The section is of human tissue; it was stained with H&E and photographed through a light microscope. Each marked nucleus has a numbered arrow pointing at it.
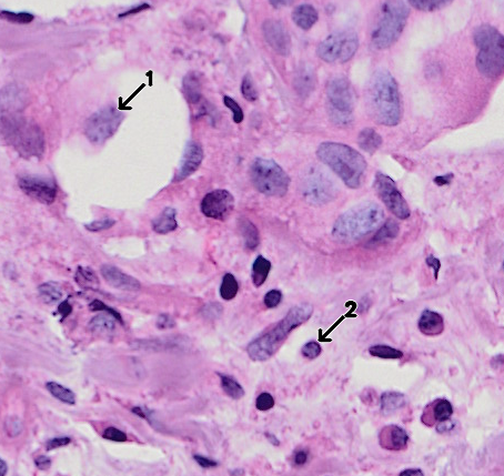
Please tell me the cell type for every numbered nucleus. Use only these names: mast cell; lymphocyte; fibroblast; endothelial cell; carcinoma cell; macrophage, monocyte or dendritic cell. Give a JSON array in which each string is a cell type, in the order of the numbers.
["carcinoma cell", "lymphocyte"]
